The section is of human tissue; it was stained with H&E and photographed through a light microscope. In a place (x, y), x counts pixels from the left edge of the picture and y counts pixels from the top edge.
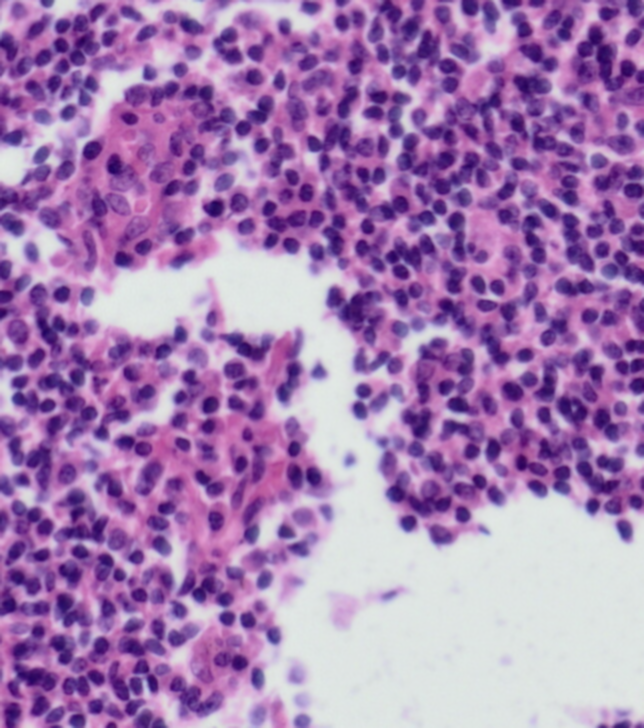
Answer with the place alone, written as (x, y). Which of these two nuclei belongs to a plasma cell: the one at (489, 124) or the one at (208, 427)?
(208, 427)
